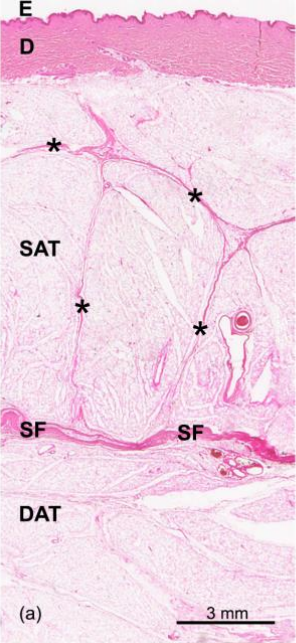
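This is a low-power view of skin and the fatty layers beneath it: a thin epidermis on top, a dense pink dermis, then a thick pale layer of fat. Thin pink fibrous strands cross this fat and divide it into lobules, running from the dermis down to a thin dense pink band. Beneath that band lies a further layer of pale fat with flatter, more obliquely arranged lobules.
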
